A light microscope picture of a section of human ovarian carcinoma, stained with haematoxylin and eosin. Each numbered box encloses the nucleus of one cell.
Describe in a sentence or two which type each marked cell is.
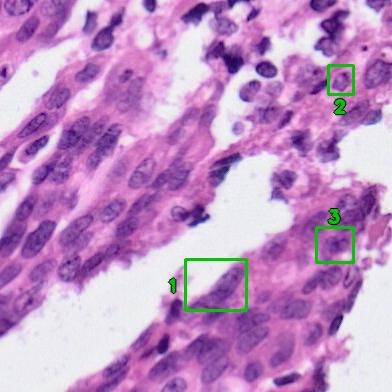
Cell 1 is a carcinoma cell, cell 2 is a macrophage or monocyte and cell 3 is a carcinoma cell.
